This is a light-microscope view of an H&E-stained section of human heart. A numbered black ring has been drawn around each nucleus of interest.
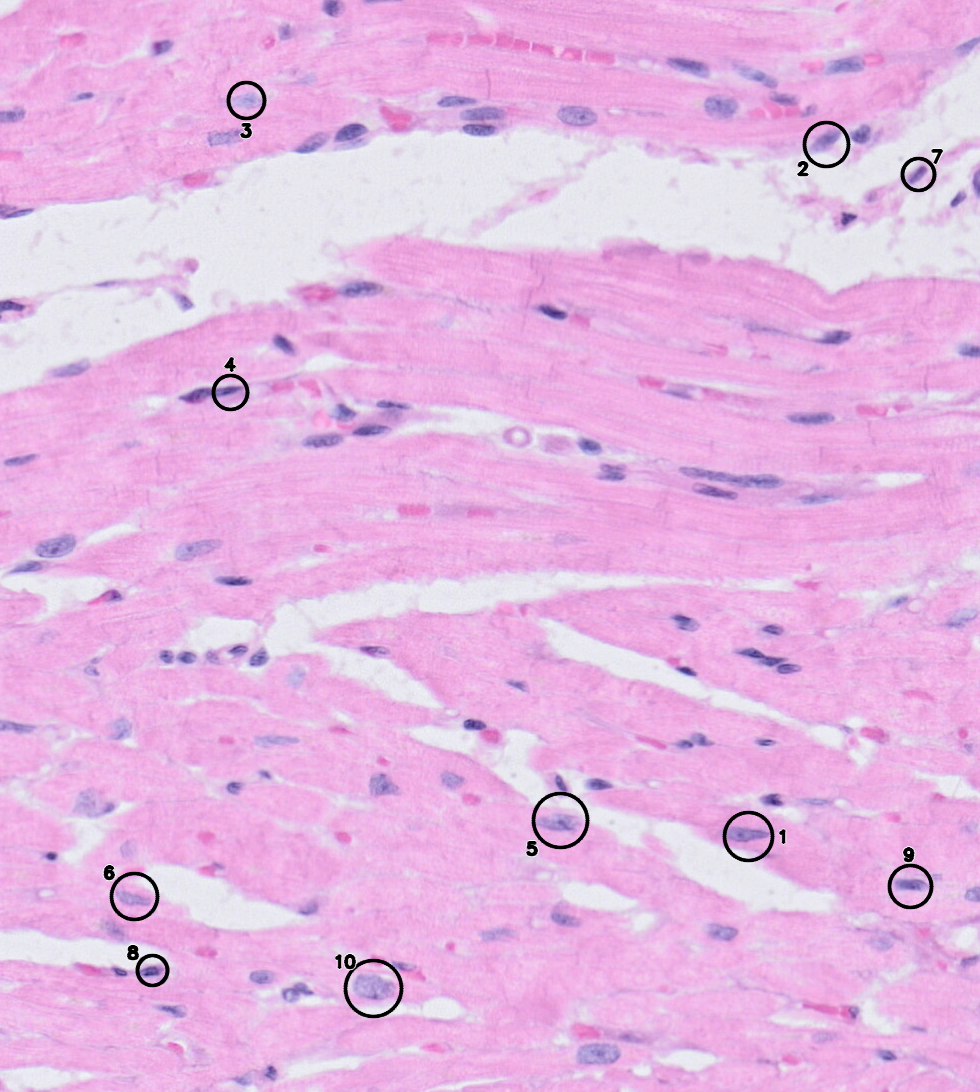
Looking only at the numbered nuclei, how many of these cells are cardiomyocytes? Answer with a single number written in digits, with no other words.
5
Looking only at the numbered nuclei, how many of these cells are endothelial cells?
3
